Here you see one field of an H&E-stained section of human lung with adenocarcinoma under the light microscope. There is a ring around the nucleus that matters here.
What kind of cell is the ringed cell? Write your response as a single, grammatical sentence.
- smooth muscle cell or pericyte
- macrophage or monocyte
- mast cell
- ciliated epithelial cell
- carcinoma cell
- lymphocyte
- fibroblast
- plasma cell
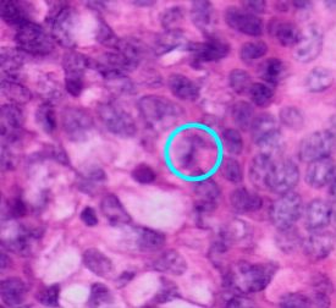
To be brief about it, the ringed cell is a ciliated epithelial cell.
